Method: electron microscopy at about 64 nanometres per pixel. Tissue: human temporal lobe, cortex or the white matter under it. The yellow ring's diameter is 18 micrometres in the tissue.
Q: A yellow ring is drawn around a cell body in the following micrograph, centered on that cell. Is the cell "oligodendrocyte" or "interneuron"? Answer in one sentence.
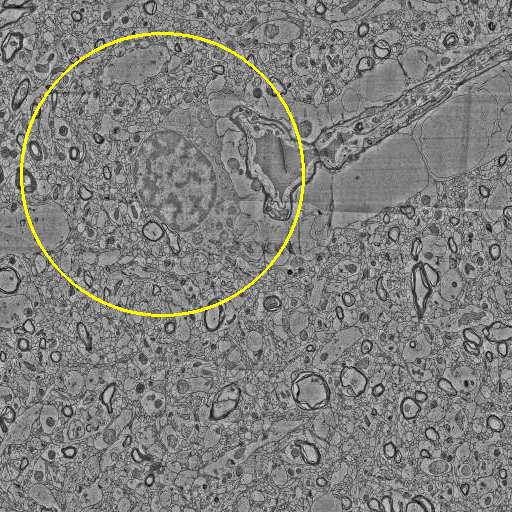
The cell in the center of the ring is an oligodendrocyte.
